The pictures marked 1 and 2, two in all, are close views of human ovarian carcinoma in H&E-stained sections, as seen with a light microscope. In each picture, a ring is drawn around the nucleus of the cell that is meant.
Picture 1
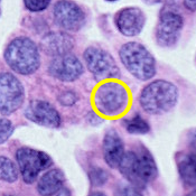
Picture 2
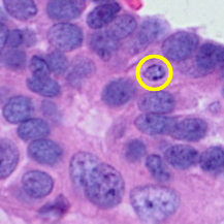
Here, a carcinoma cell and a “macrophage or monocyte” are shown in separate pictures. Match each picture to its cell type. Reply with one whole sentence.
The cell in picture 1 is a carcinoma cell, and the one in picture 2 is a “macrophage or monocyte”.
